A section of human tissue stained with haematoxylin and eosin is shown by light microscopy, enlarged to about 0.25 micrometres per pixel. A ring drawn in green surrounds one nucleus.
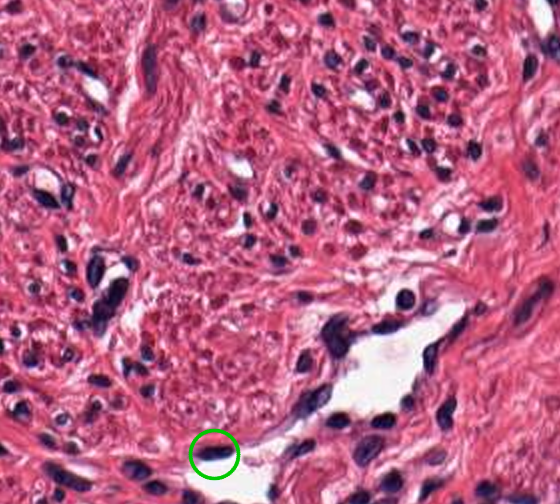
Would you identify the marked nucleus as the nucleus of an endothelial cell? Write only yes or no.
yes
